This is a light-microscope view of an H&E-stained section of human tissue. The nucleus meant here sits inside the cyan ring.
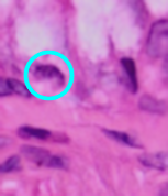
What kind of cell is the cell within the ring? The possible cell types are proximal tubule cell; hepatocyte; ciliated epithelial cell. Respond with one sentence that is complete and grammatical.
In the tissue under study, the cell within the ring is a ciliated epithelial cell.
